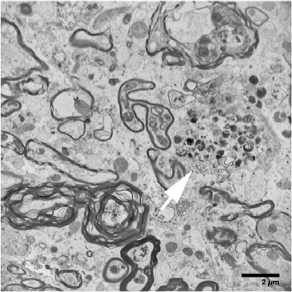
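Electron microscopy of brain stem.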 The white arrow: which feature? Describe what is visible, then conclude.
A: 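The arrow points to a profile packed with many small electron-dense round bodies. Myelinated axons of varying size surround it. The answer: Axonal inclusions.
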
